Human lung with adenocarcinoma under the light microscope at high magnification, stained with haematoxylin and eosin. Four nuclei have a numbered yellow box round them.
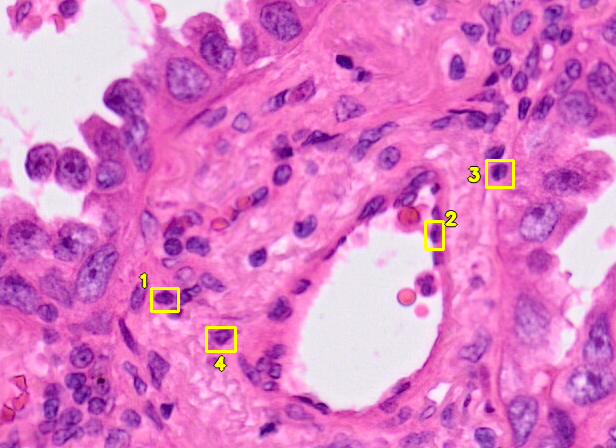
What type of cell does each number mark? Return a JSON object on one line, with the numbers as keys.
{"1": "lymphocyte", "2": "endothelial cell", "3": "lymphocyte", "4": "plasma cell"}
